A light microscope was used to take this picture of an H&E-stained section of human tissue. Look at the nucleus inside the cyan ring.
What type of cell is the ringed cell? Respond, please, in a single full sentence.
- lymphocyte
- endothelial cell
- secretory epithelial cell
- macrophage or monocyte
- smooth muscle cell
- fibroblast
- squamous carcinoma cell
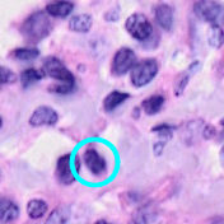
Cytologically, the ringed cell is to be regarded as a lymphocyte.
